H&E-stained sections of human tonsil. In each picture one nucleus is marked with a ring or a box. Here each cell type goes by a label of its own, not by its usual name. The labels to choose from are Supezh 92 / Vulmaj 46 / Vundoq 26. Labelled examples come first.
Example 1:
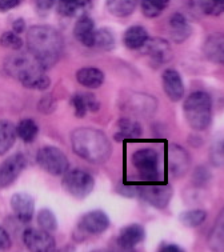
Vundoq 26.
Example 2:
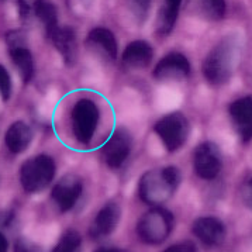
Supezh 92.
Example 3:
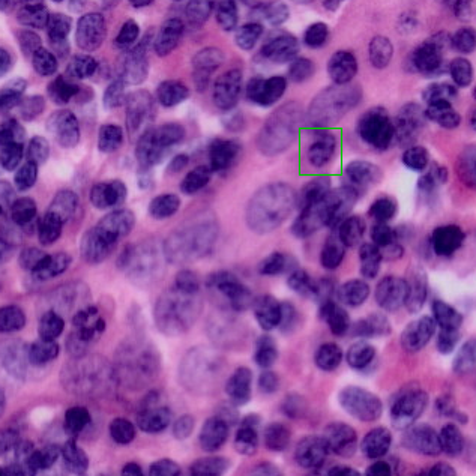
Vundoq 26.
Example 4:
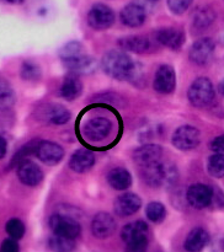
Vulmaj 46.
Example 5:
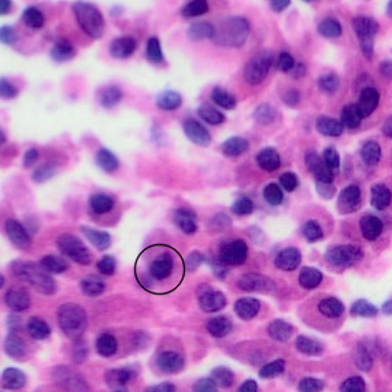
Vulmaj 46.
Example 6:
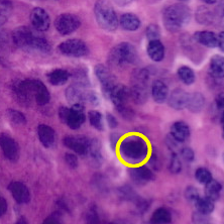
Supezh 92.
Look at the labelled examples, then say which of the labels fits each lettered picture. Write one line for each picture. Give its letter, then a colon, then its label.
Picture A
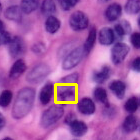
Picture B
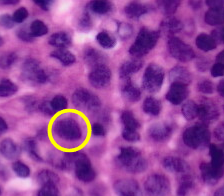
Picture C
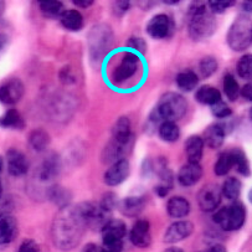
A: Vundoq 26.
B: Supezh 92.
C: Vundoq 26.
